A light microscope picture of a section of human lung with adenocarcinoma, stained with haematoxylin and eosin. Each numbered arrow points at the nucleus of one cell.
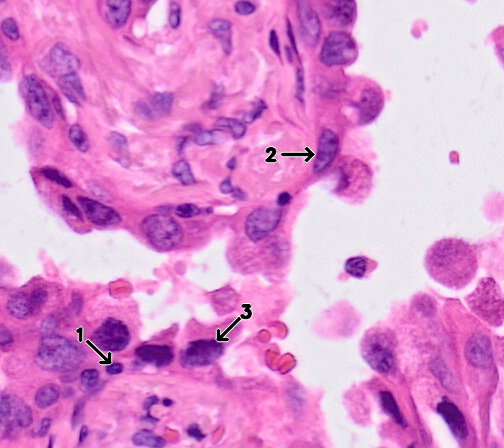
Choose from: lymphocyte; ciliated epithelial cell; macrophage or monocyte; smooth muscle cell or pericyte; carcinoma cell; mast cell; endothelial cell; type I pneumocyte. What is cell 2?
carcinoma cell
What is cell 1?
lymphocyte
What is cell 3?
carcinoma cell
